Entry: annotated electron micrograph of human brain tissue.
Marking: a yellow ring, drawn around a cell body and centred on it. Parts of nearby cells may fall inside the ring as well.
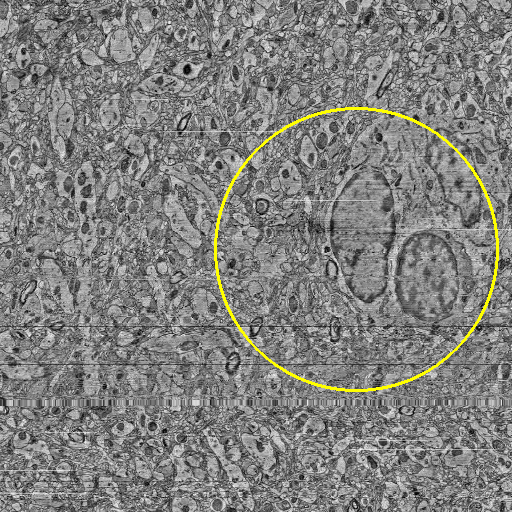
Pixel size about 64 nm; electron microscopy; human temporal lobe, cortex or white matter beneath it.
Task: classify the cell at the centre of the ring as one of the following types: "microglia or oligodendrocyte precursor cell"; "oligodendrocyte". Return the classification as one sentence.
The marked cell is classified as a microglial cell or oligodendrocyte precursor cell.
